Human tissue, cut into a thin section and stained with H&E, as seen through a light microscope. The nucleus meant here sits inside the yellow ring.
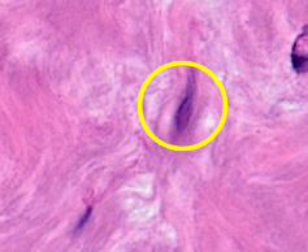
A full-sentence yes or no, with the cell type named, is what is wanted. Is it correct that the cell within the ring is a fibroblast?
Yes, that is right: the cell within the ring is a fibroblast.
